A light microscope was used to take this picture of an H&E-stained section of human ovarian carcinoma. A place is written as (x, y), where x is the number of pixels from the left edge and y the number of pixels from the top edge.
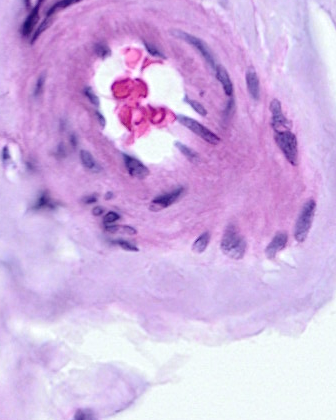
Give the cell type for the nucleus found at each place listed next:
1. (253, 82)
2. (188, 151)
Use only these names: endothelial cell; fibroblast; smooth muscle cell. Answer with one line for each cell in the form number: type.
1: smooth muscle cell
2: endothelial cell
